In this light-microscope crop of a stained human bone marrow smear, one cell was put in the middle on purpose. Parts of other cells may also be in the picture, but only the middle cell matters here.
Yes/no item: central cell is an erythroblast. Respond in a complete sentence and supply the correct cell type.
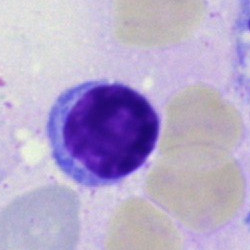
No, what is seen at the centre is a lymphocyte instead of an erythroblast.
